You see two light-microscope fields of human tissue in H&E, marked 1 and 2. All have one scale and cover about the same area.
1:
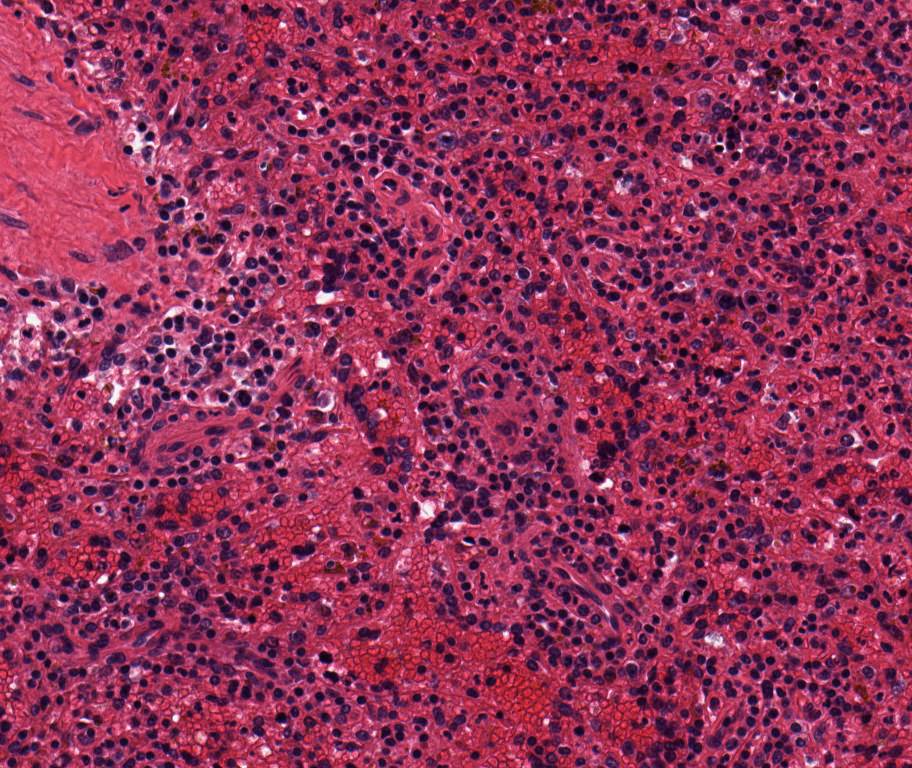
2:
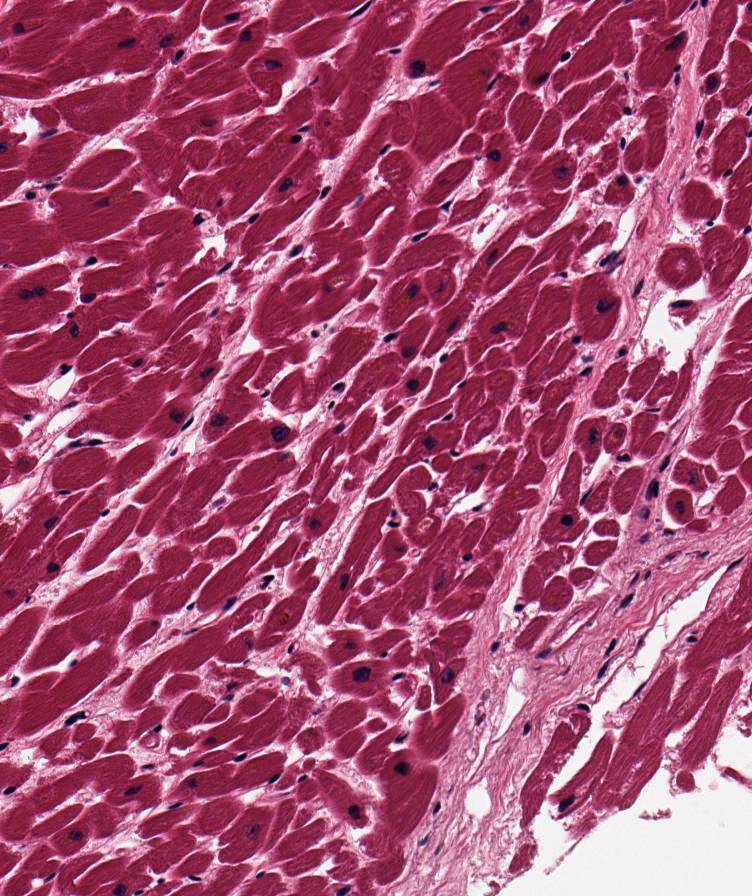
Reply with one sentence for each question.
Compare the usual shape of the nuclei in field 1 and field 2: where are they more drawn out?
The nuclei are more elongated in field 2.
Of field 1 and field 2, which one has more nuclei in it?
It is field 1 that has more nuclei in it.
